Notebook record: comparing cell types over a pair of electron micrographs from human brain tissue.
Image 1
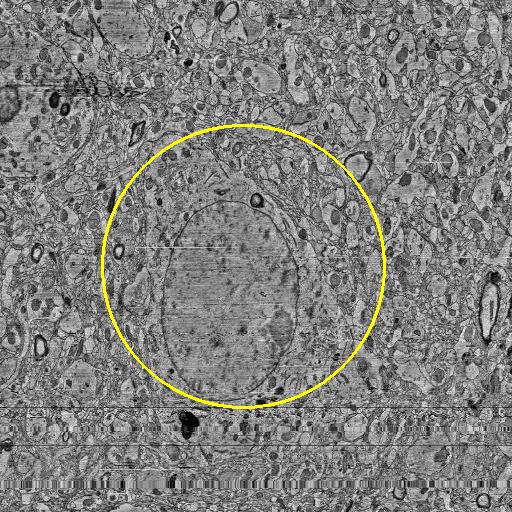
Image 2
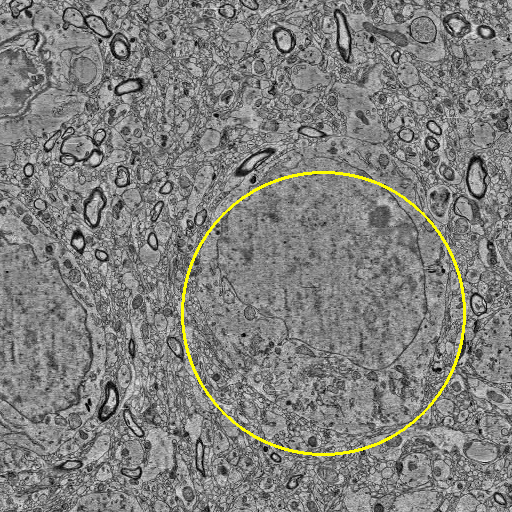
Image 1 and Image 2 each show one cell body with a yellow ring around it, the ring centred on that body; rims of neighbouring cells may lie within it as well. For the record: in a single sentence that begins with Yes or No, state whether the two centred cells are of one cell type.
Yes, one cell type is shared by the centred cells of Image 1 and Image 2.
